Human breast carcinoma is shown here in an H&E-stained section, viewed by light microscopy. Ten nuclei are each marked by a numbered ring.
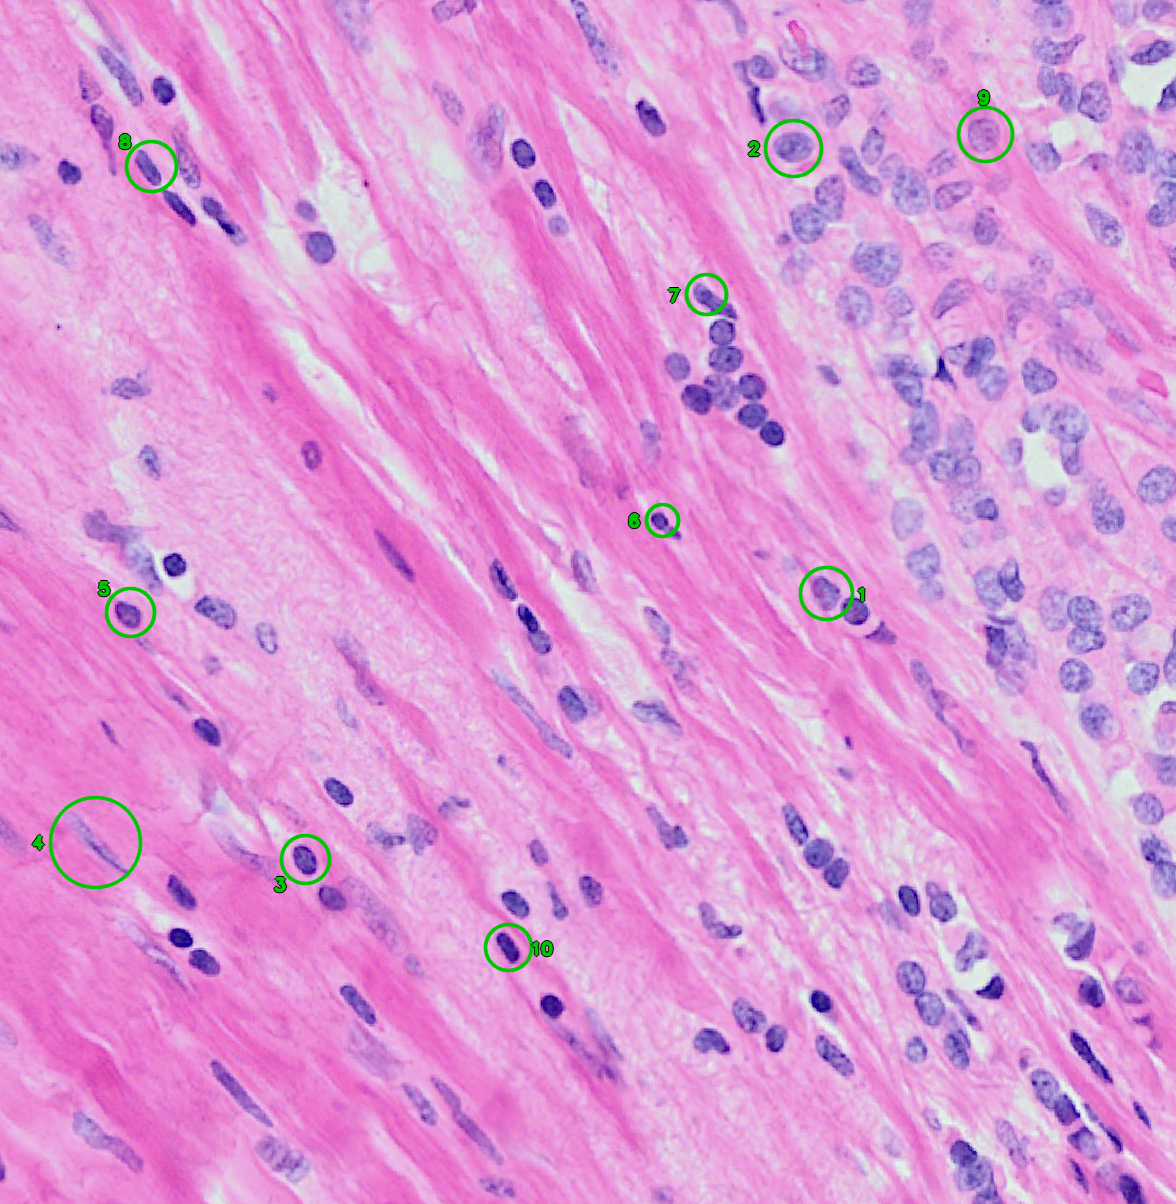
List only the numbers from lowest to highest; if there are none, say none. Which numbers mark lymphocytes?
3, 5, 6, 7, 8, 10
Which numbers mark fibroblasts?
4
